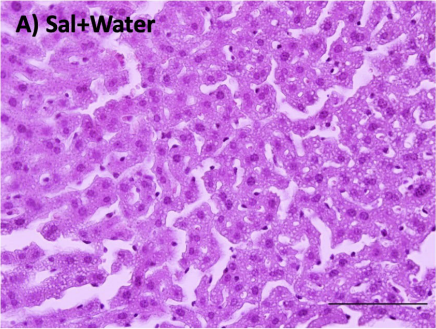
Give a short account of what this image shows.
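This is liver tissue made of polygonal hepatocytes arranged in cords separated by narrow pale sinusoidal spaces. The hepatocytes have pink-purple, finely granular cytoplasm and round, centrally placed dark purple nuclei. The cords are orderly and closely packed. No large clear vacuoles are seen in the cytoplasm of the cells.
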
